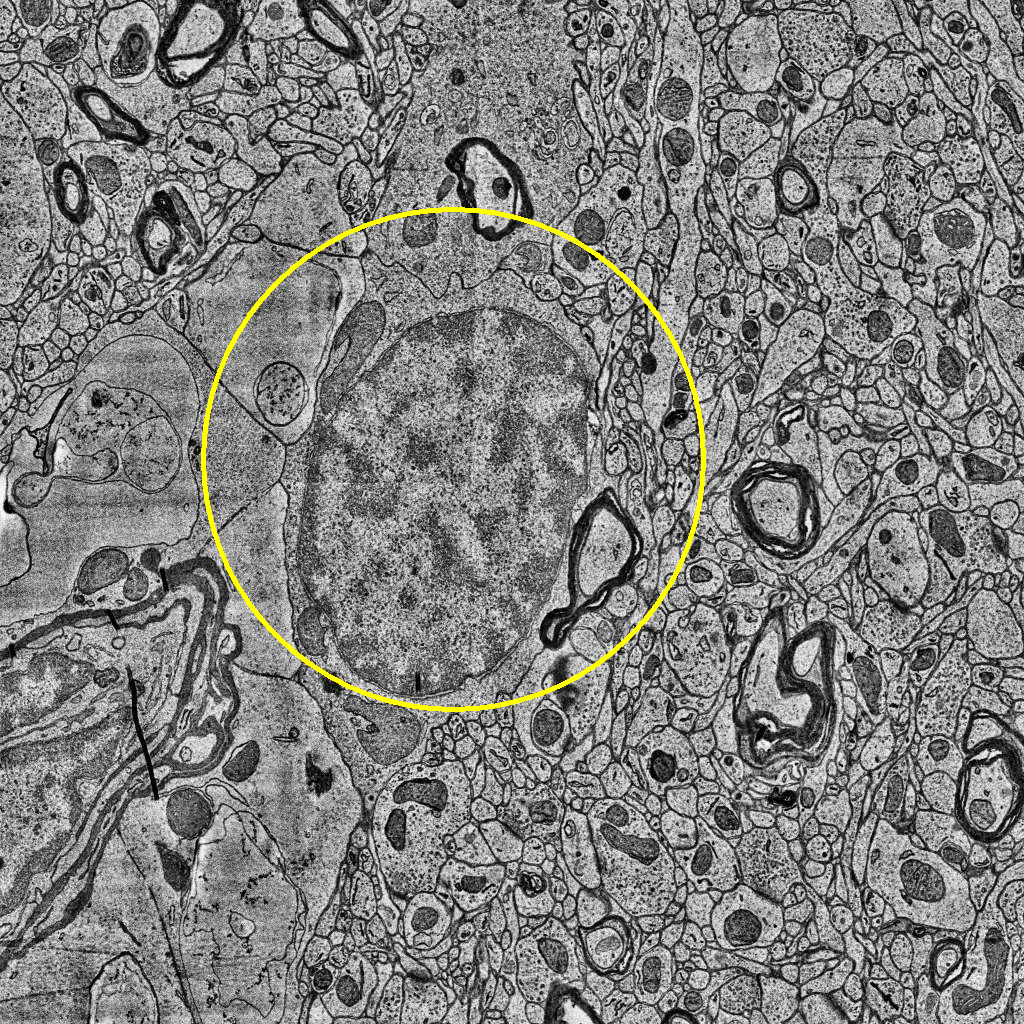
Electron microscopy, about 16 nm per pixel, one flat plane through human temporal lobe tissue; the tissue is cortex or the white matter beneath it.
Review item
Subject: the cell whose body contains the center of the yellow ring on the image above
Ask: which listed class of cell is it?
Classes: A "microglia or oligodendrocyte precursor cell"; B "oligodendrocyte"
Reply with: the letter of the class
B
